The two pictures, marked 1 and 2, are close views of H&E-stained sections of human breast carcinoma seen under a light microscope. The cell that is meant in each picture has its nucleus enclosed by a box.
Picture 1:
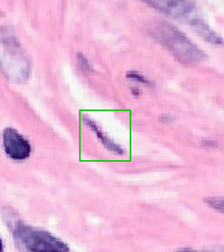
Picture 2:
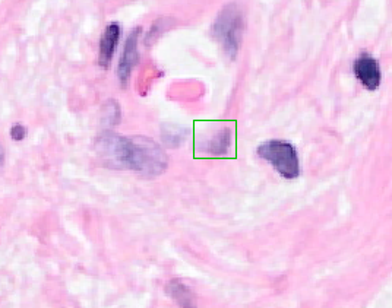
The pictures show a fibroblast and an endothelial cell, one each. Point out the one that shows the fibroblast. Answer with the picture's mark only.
1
